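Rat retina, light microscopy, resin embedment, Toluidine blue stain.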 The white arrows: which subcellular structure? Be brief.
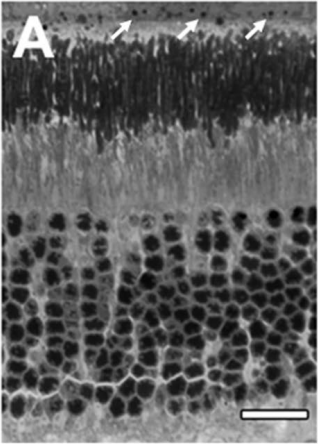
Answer: Phagosomes.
